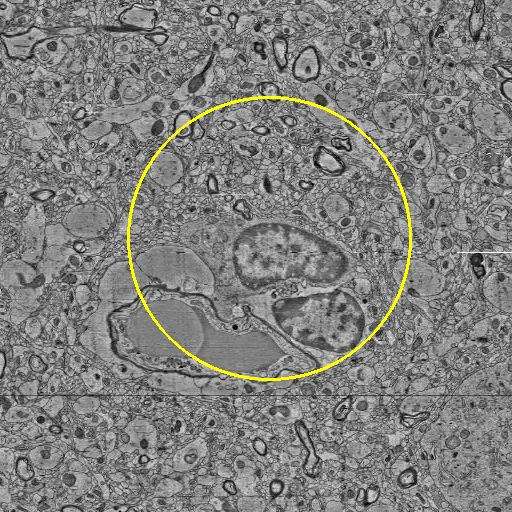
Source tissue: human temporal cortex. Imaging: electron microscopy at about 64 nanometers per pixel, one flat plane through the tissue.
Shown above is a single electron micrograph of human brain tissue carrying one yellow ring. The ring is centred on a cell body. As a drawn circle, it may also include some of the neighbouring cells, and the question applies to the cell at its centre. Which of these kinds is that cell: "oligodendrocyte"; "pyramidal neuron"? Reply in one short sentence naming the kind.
The cell marked by the ring is an oligodendrocyte.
